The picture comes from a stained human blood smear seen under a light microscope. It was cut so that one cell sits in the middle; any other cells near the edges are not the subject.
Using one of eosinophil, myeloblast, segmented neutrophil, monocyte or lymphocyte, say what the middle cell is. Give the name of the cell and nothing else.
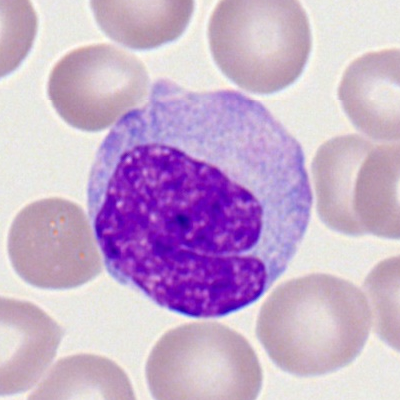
monocyte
